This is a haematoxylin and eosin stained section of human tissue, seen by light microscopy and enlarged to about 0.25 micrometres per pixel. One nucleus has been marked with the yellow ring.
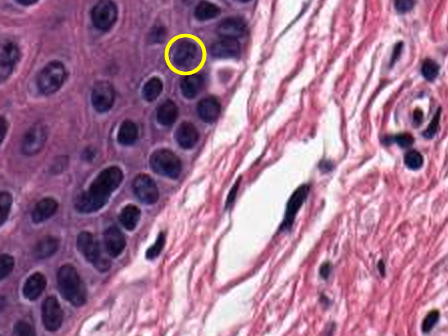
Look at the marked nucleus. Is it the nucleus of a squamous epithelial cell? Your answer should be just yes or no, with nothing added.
yes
